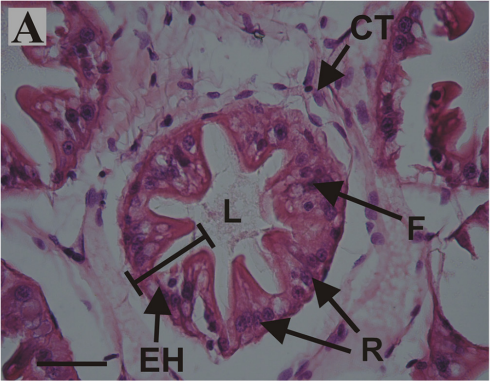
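This is a midgut gland tubule cut across, lined by a single layer of tall columnar epithelial cells surrounding a star-shaped lumen. The epithelium is folded so the lumen has several radiating arms. The cells have round, dark purple nuclei and pink cytoplasm, some of it more deeply stained than the rest. Outside the tubule lies pale, loose connective tissue with scattered small elongated nuclei.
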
